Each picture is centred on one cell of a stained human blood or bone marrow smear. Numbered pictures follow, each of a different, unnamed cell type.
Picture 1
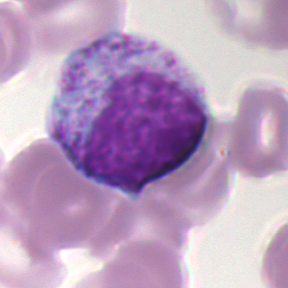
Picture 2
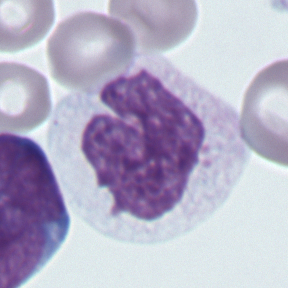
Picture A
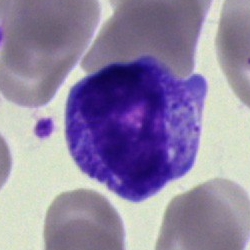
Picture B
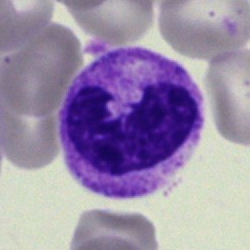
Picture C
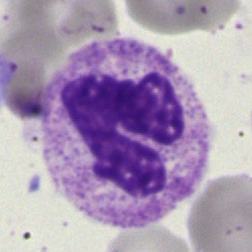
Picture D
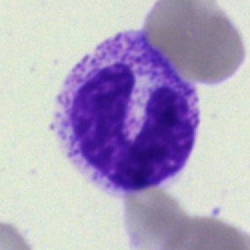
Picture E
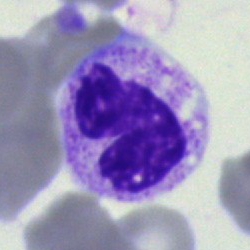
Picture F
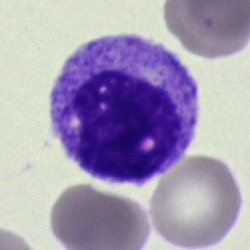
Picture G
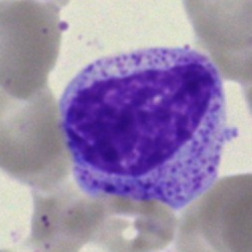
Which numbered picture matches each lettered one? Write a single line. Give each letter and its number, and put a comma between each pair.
A 1, B 2, C 2, D 2, E 2, F 1, G 1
